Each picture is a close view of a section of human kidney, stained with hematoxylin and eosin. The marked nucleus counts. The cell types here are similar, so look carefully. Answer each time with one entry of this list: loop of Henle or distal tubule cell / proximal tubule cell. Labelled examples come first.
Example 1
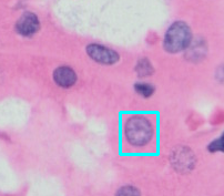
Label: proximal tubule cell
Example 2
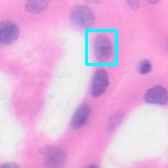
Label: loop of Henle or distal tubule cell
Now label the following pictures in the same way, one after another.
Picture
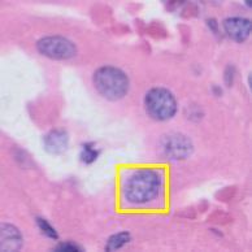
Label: loop of Henle or distal tubule cell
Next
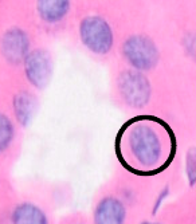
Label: loop of Henle or distal tubule cell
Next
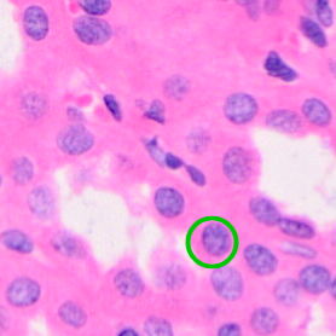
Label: loop of Henle or distal tubule cell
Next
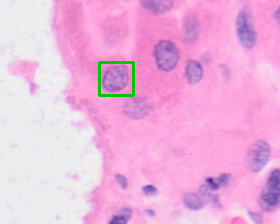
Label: proximal tubule cell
